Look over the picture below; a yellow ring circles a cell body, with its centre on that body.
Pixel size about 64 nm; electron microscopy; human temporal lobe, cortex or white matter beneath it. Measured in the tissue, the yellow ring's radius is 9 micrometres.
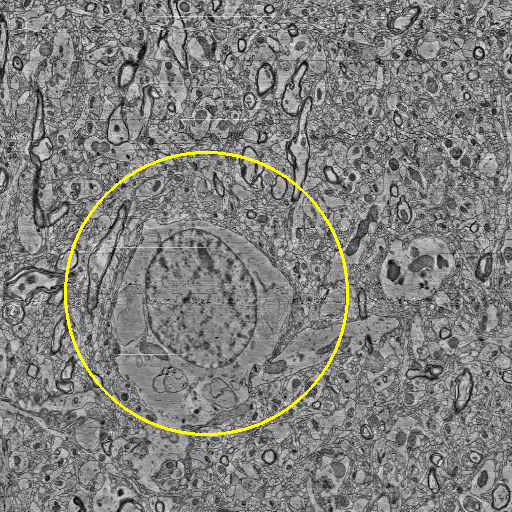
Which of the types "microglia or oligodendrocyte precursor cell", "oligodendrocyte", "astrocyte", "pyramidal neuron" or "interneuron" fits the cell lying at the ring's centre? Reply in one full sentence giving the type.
The picture shows an astrocyte at the centre of the yellow ring.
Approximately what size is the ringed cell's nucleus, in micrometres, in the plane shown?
The nucleus is approximately 9 micrometers long by 7 micrometers wide in this plane.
